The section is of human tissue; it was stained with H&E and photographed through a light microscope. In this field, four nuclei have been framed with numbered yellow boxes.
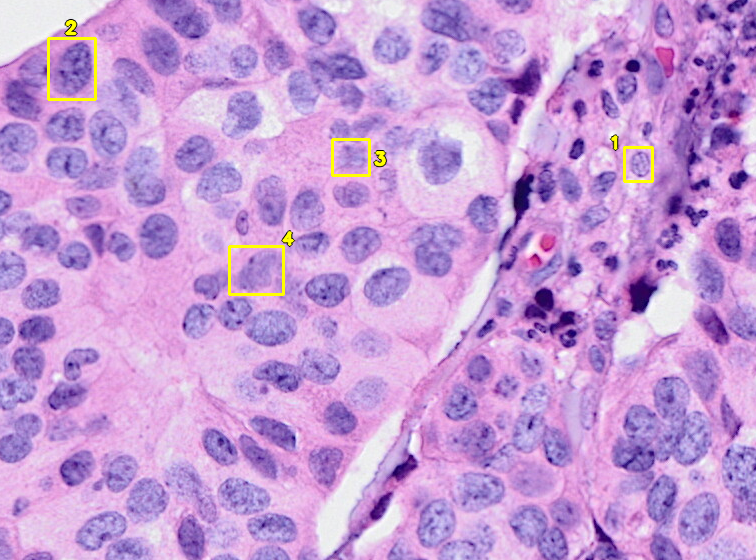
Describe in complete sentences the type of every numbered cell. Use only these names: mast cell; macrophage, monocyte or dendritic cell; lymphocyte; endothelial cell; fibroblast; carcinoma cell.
Cell 1 is a macrophage, monocyte or dendritic cell, cell 2 is a carcinoma cell, cell 3 is a carcinoma cell and cell 4 is a carcinoma cell.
